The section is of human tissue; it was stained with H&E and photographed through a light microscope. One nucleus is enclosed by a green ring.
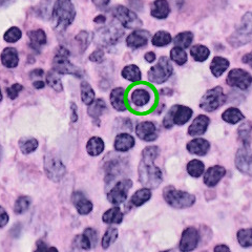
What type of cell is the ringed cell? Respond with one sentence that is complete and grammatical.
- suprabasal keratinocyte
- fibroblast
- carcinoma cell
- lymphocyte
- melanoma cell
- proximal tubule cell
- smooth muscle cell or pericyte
Histopathologically, the ringed cell is a lymphocyte.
